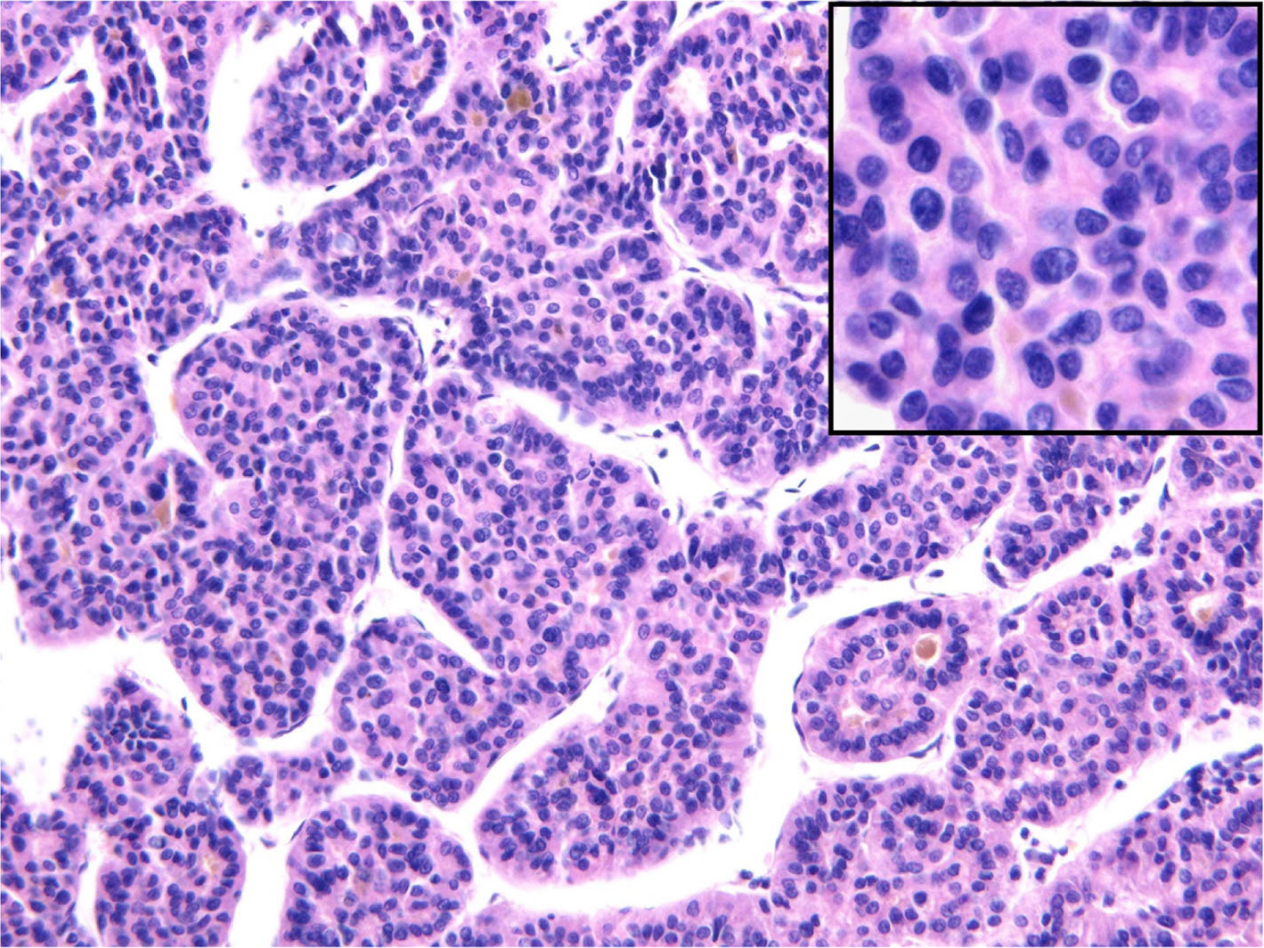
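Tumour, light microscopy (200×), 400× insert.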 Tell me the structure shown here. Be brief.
trabecular pattern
